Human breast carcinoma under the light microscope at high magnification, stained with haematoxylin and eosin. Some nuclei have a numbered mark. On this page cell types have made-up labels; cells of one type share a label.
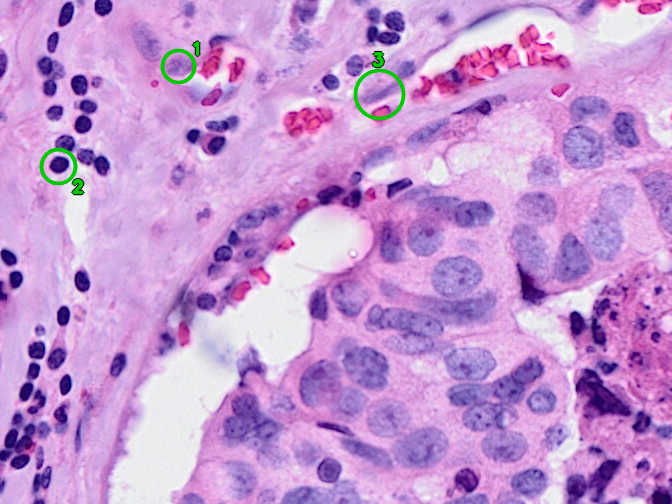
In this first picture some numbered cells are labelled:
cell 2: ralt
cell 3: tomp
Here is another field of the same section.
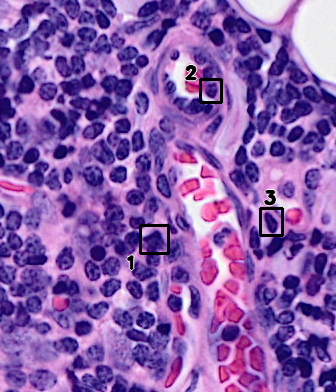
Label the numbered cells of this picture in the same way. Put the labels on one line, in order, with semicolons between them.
ralt; tomp; ralt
